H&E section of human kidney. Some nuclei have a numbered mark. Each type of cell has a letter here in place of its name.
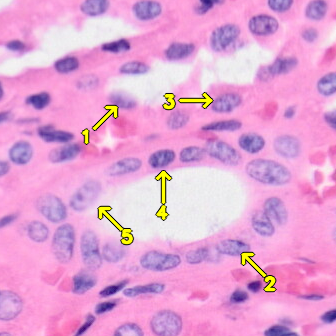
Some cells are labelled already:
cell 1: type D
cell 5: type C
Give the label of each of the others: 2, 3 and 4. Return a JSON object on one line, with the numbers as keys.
{"2": "type C", "3": "type D", "4": "type C"}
